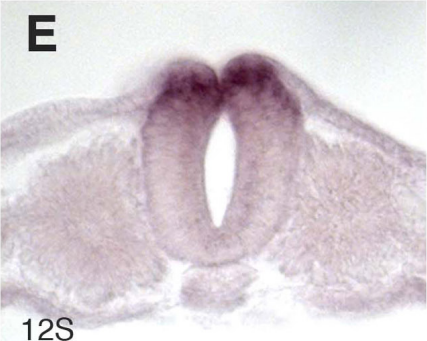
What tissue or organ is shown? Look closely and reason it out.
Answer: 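A midline tube of thick columnar epithelium around a slit-like central lumen. Flanked on both sides by rounded blocks of mesoderm. That points to this answer: neural tube.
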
